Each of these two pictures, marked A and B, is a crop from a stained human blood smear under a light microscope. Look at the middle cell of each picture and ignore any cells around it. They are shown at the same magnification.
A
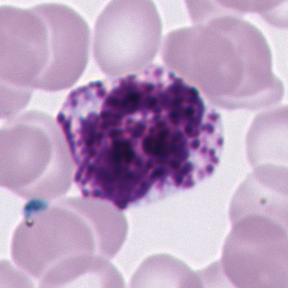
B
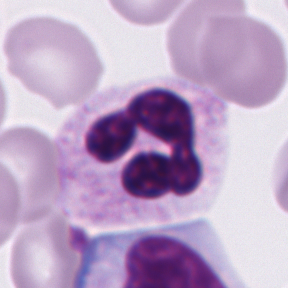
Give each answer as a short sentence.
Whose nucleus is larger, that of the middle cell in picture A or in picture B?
It is the nucleus in picture A, about 1.5 times as large in area as the one in picture B.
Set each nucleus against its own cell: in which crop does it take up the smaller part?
The nucleus fills less of the cell in picture B than in picture A.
